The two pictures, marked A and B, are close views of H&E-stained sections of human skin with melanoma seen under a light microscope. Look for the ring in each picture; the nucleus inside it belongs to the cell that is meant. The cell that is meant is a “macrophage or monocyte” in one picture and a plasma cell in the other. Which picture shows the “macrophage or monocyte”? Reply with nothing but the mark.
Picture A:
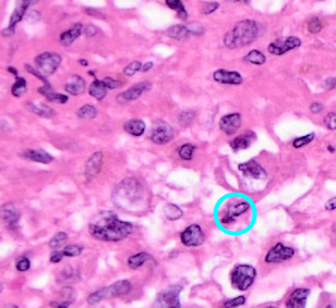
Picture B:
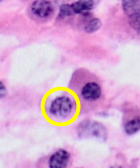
A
